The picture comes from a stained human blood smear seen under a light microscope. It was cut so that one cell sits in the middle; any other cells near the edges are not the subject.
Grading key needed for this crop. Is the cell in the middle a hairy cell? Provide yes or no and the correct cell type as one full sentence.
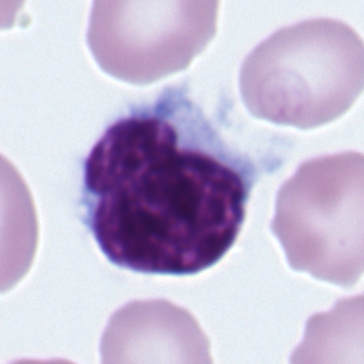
Yes, the cell at the middle is a hairy cell.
